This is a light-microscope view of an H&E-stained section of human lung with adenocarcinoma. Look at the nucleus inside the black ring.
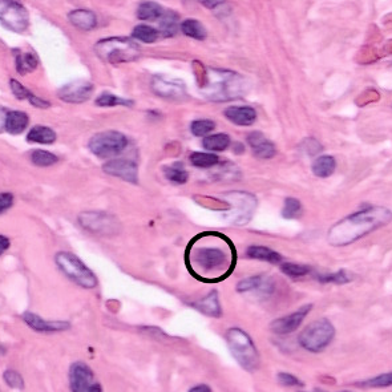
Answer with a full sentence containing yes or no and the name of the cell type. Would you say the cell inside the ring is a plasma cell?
Yes, what the cell inside the ring represents in this tissue is a plasma cell.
